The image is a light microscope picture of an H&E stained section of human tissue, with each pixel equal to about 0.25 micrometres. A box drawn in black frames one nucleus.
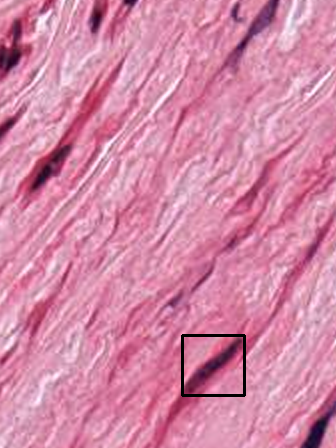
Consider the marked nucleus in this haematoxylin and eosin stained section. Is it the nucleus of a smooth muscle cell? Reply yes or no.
yes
